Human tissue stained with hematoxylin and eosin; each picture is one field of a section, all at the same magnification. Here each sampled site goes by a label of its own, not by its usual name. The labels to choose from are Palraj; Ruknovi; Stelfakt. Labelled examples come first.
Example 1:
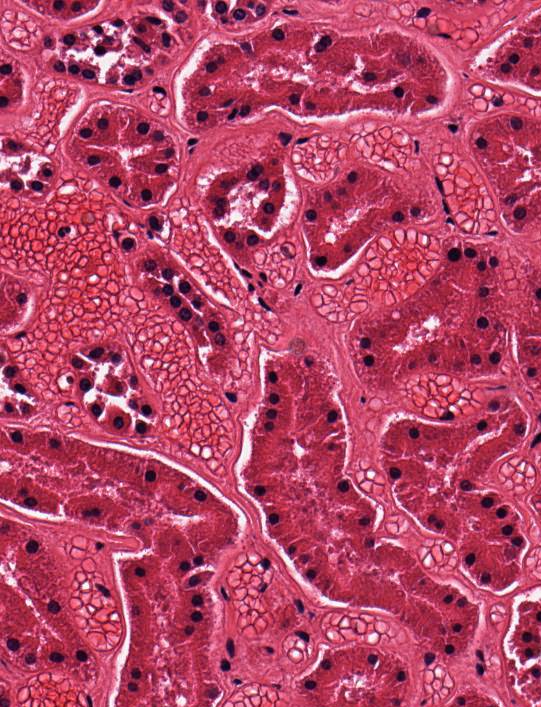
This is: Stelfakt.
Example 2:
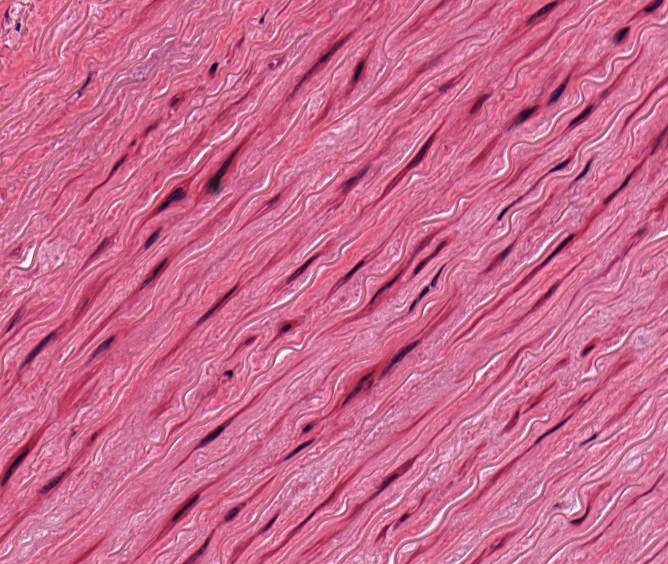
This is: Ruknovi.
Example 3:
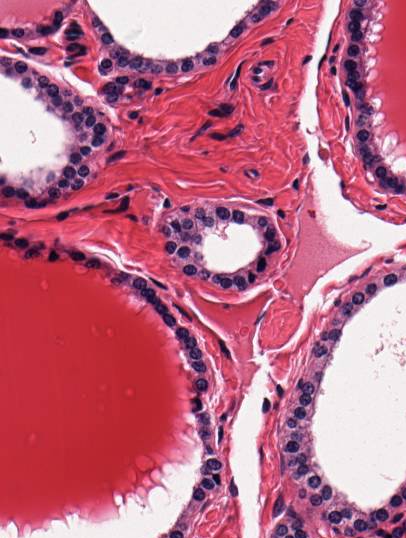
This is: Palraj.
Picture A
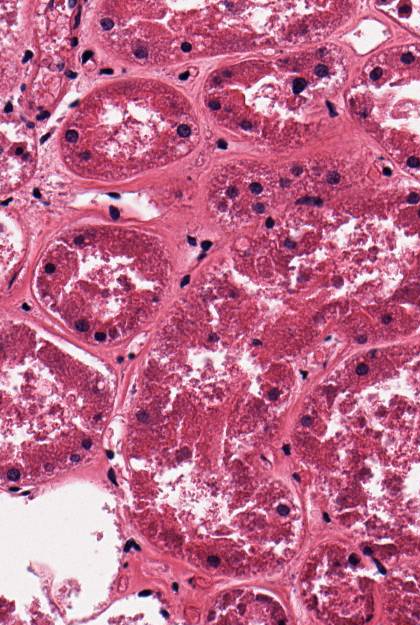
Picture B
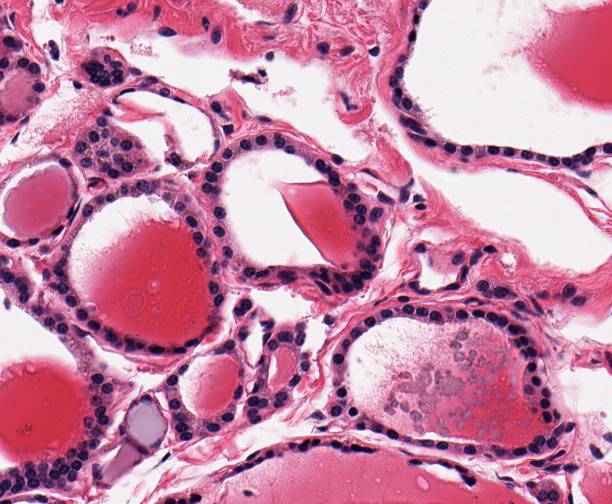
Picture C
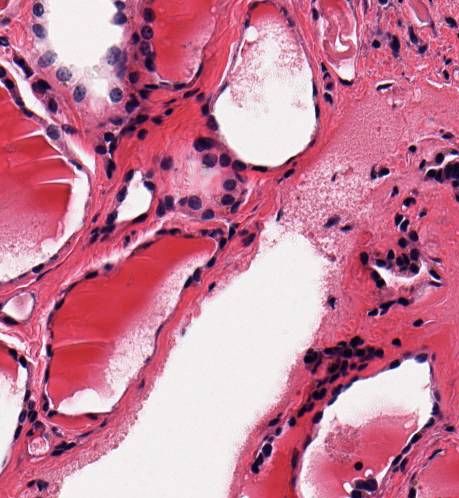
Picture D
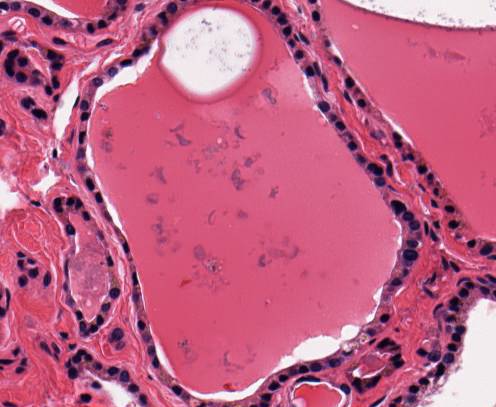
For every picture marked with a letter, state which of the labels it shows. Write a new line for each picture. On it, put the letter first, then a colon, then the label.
A: Stelfakt.
B: Palraj.
C: Palraj.
D: Palraj.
